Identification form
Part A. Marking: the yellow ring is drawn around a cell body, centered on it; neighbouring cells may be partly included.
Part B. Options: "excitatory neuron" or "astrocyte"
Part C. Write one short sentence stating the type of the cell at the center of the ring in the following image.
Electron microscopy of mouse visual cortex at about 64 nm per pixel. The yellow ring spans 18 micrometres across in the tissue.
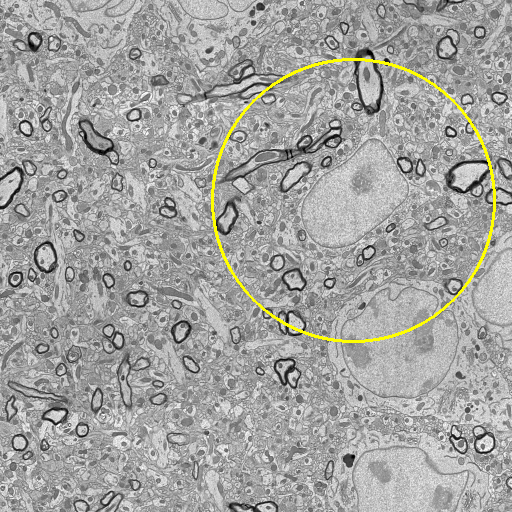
The center of the ring holds an astrocyte.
